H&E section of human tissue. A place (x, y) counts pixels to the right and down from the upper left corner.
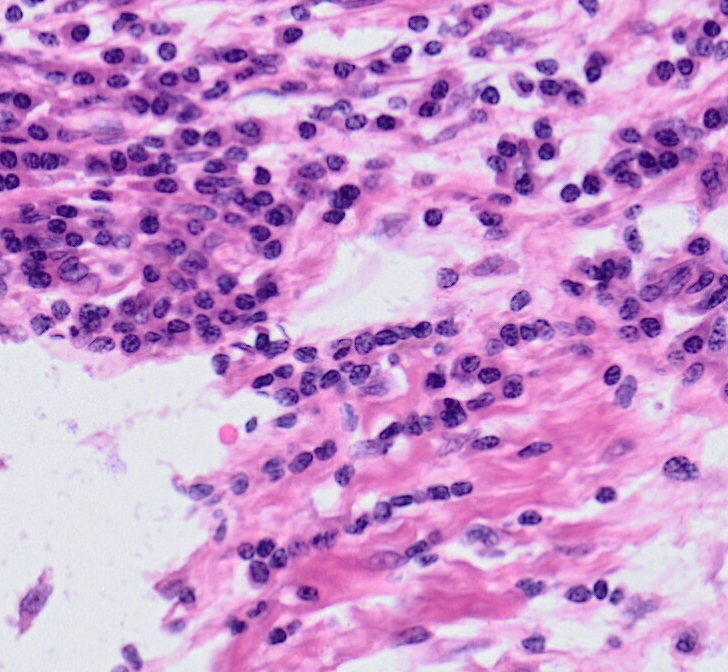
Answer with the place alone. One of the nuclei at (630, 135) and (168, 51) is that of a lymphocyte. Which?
(168, 51)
